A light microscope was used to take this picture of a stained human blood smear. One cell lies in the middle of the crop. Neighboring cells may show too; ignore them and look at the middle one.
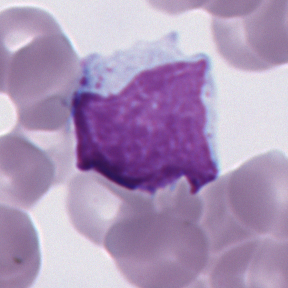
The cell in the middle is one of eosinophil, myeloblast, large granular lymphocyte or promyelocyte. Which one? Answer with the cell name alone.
large granular lymphocyte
